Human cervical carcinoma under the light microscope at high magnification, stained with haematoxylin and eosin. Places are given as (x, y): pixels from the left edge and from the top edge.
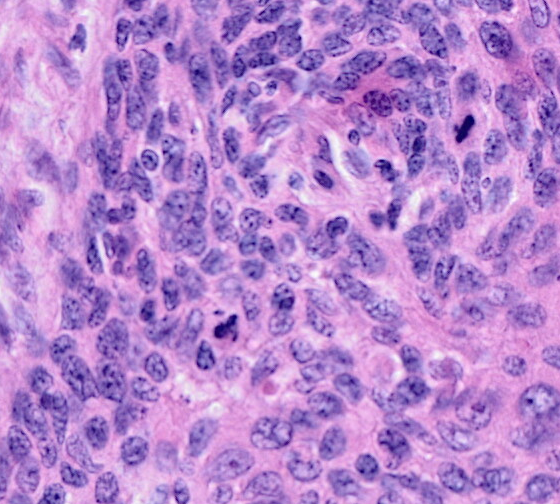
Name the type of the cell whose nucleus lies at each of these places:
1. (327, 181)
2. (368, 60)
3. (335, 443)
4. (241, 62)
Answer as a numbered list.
1. lymphocyte
2. squamous carcinoma cell
3. squamous carcinoma cell
4. squamous carcinoma cell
